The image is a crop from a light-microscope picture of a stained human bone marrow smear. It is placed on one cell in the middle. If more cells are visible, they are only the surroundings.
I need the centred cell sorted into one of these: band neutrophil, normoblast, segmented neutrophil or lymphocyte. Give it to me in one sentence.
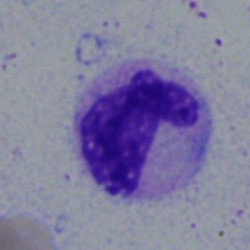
As for the central cell, it is a band neutrophil.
